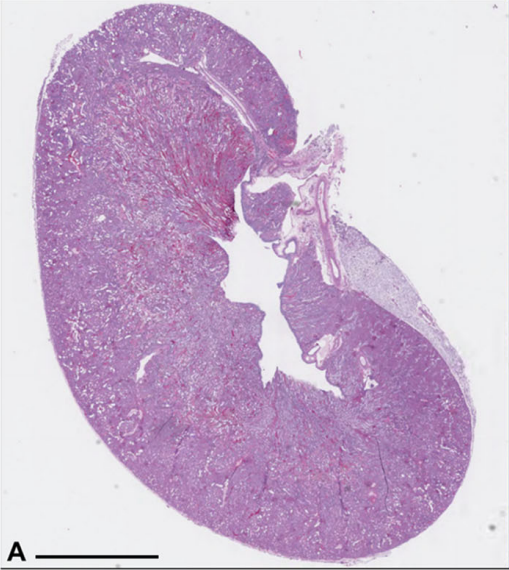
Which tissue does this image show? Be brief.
Kidney.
